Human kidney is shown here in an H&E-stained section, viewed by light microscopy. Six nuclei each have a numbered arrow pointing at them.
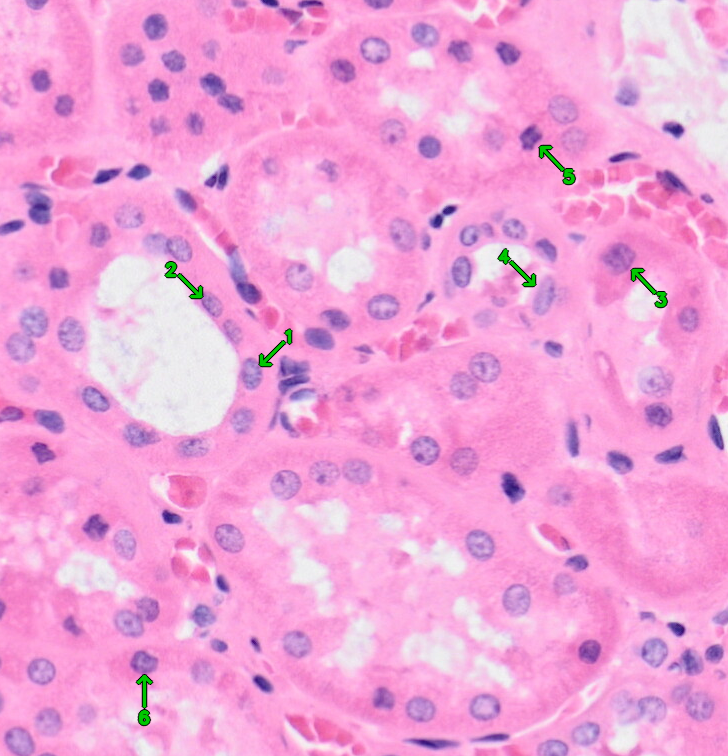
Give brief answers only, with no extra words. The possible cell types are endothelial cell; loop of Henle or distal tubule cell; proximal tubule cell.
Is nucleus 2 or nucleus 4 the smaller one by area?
2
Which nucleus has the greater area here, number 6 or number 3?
3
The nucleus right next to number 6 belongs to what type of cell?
proximal tubule cell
